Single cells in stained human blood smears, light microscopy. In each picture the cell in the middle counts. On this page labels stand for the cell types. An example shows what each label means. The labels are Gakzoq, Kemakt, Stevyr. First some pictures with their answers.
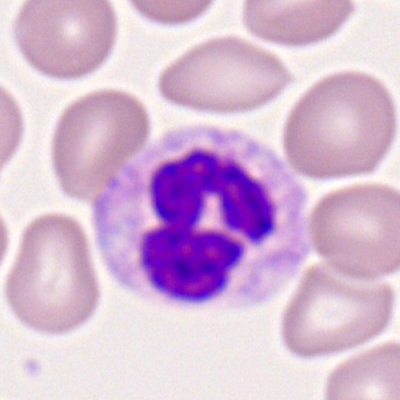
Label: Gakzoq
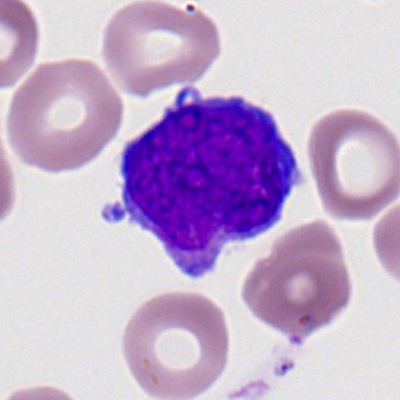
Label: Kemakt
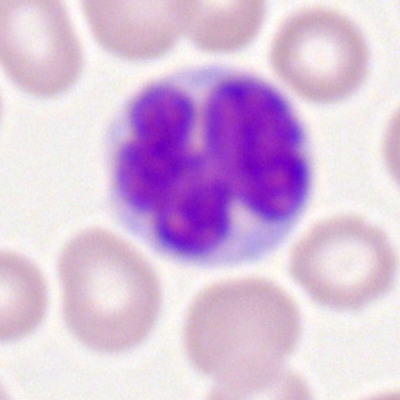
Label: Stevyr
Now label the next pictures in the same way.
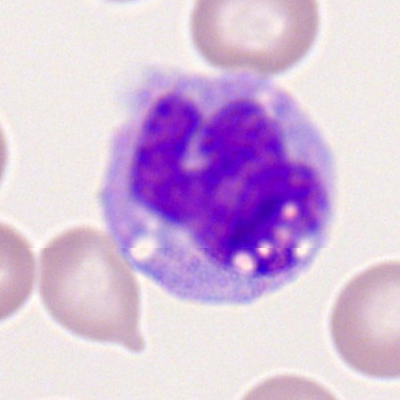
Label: Stevyr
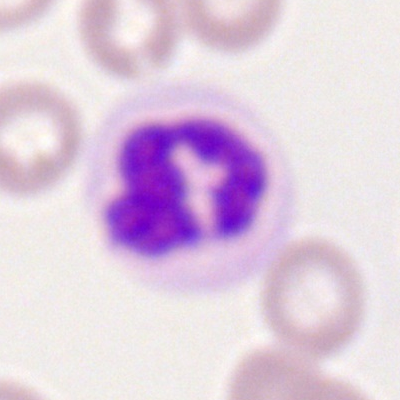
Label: Gakzoq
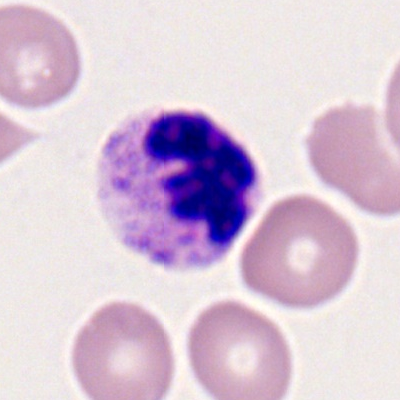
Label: Gakzoq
